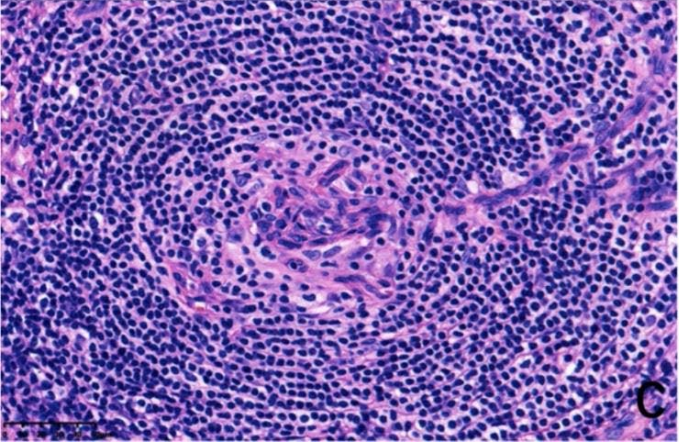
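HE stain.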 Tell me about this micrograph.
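A follicle of lymphoid tissue with an onion skin appearance is seen at high power. Its centre is a small pale pink focus of elongated cells with oval, lighter nuclei and pink stroma, likely including a small vessel. At the edges the rings loosen into more randomly scattered lymphocytes, with a few thin pink vessel walls crossing the tissue.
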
